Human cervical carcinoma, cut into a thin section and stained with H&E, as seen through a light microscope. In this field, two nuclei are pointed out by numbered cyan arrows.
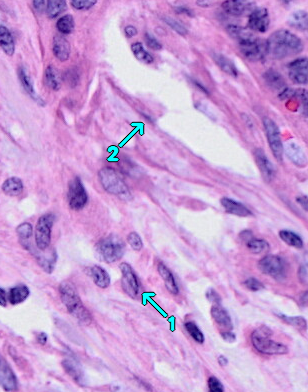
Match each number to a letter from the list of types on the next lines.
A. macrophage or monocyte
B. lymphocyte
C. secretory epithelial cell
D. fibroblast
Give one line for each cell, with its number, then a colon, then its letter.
1: A
2: D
